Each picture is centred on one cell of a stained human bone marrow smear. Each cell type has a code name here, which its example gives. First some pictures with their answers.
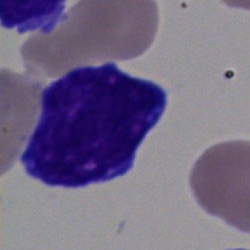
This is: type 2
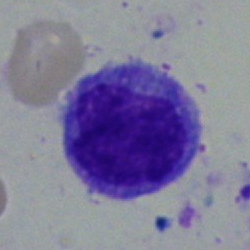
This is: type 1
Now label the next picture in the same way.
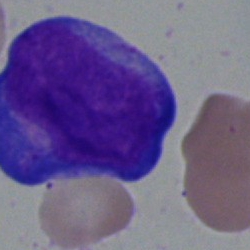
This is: type 2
